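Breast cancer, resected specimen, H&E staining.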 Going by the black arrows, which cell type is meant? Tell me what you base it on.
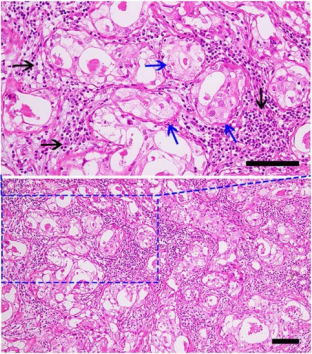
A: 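Inflammatory cells. The black arrows point at small cells with round, dark purple nuclei and scant cytoplasm. These small cells form dense clusters in the stroma between the larger cell nests.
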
